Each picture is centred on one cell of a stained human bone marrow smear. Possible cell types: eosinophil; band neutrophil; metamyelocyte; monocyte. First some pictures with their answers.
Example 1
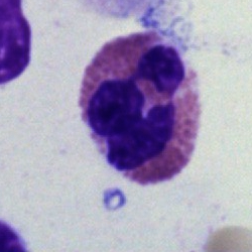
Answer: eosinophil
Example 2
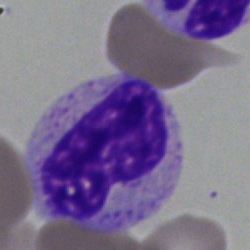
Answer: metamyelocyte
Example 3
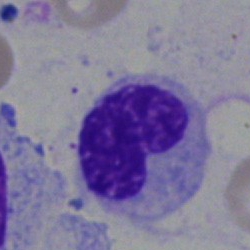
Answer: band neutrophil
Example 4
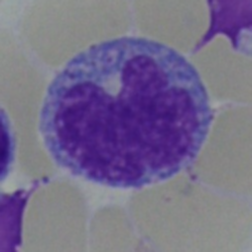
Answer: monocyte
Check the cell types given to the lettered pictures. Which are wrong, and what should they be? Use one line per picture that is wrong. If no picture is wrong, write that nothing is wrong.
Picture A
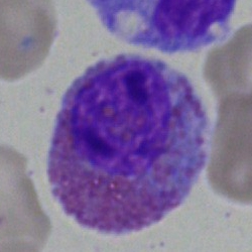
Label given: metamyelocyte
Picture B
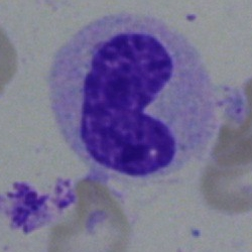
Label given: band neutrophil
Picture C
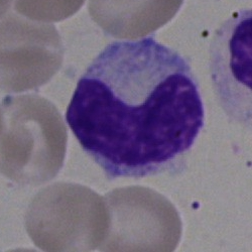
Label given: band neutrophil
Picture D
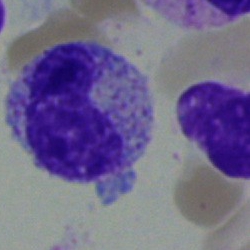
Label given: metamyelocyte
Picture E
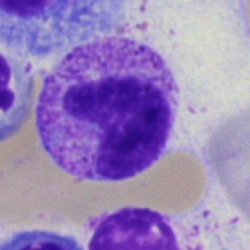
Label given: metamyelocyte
Wrong: A (metamyelocyte); correct: eosinophil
